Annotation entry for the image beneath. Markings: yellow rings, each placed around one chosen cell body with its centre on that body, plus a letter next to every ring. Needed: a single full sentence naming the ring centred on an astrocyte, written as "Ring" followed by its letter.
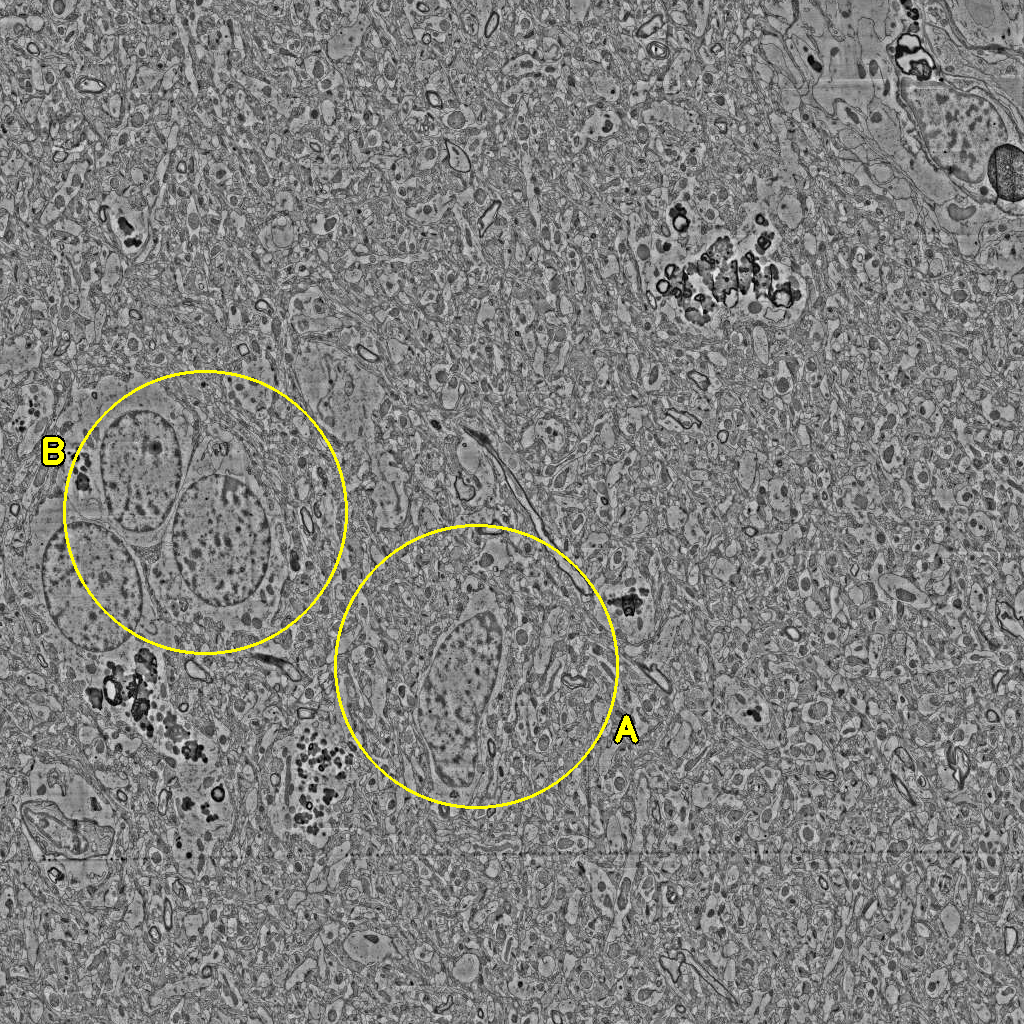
The image shows the cell in question at the centre of Ring B.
